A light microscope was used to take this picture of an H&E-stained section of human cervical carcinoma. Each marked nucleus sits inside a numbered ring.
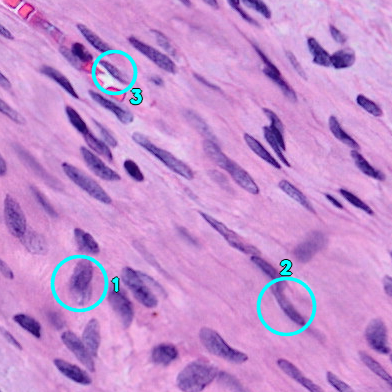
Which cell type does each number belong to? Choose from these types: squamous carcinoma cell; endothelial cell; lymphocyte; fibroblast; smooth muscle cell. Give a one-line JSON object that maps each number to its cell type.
{"1": "fibroblast", "2": "fibroblast", "3": "endothelial cell"}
